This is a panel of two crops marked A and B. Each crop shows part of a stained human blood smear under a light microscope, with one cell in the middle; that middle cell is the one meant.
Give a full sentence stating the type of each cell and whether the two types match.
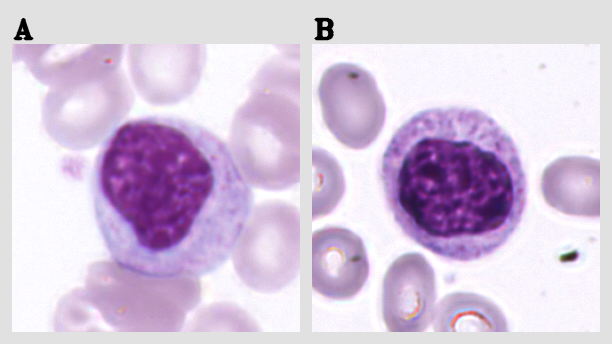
Yes, in short, both crops show metamyelocytes.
